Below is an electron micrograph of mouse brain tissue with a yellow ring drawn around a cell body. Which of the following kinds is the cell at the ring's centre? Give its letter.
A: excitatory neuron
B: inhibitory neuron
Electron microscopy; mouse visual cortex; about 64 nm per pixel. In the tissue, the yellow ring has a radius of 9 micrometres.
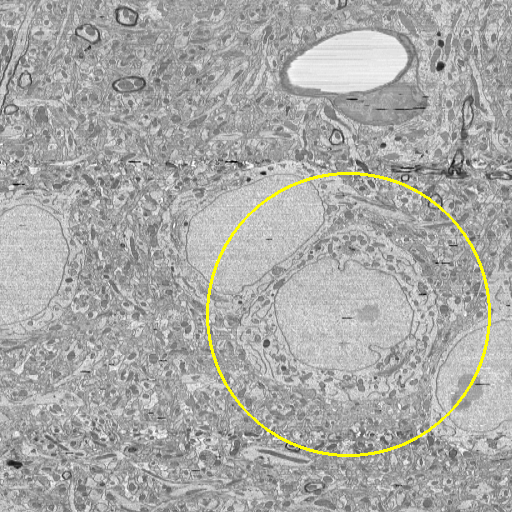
B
